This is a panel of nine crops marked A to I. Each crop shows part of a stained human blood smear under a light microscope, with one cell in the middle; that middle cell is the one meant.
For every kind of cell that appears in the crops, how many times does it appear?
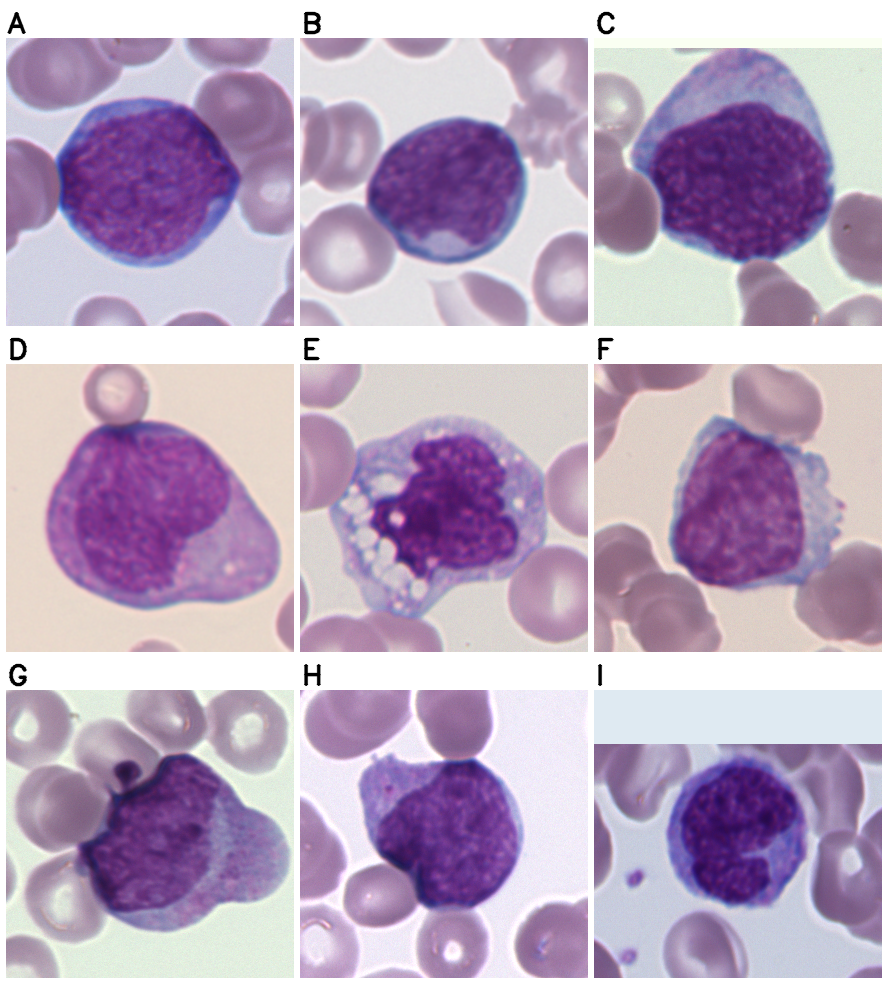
atypical promyelocyte: 4
myeloblast: 3
monocyte: 2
